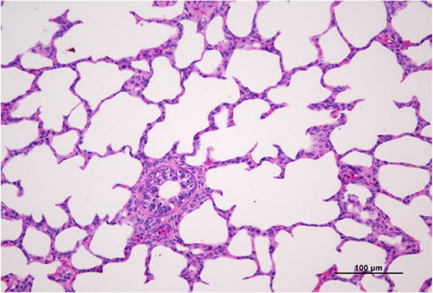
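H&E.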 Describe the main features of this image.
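This section of lung shows many wide, open alveolar spaces separated by thin pink septa. The septa are delicate and contain scattered purple nuclei, only one or two cells thick. Near the lower center a small airway lined by cuboidal epithelial cells lies beside a small blood vessel, surrounded by a little connective tissue. The air spaces are empty and clear, and the overall lacy architecture of the lung is preserved.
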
